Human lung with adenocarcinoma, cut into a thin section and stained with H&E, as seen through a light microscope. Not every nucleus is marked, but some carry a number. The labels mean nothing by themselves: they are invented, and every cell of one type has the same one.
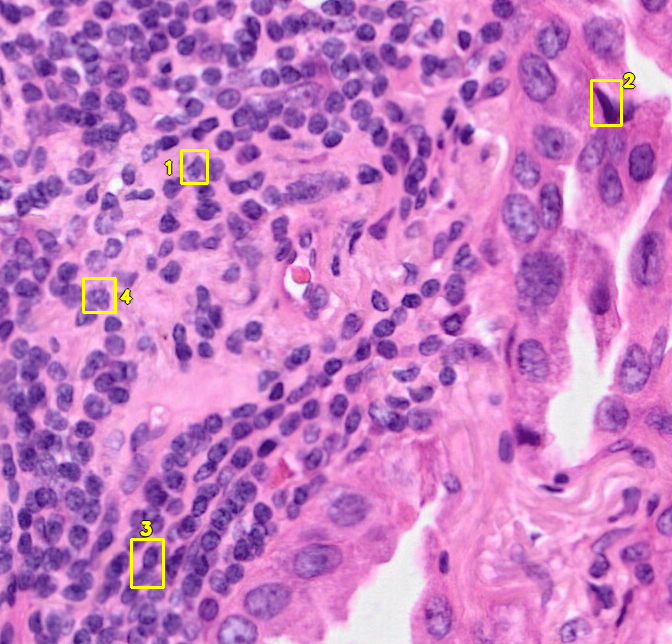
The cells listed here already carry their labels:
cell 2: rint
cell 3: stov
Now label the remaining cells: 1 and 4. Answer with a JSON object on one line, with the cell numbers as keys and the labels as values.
{"1": "stov", "4": "stov"}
